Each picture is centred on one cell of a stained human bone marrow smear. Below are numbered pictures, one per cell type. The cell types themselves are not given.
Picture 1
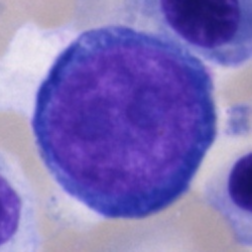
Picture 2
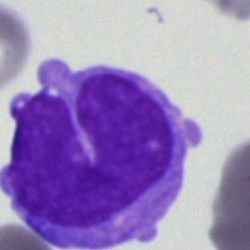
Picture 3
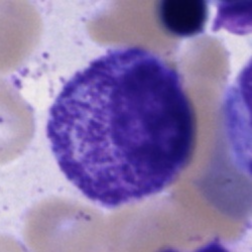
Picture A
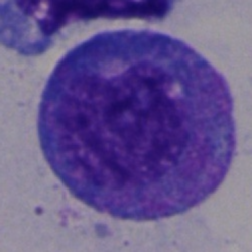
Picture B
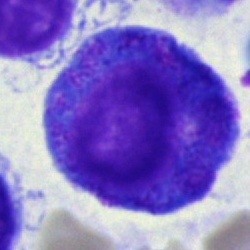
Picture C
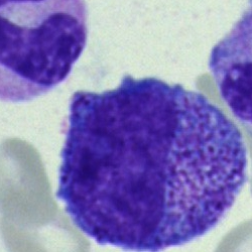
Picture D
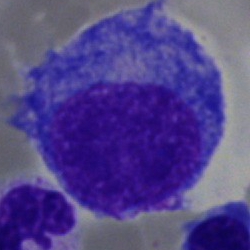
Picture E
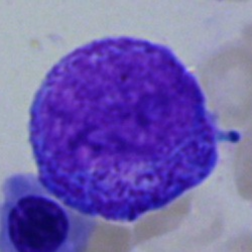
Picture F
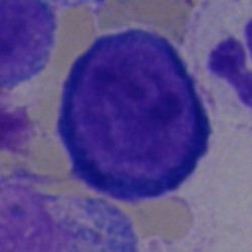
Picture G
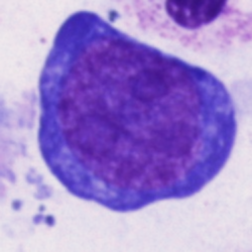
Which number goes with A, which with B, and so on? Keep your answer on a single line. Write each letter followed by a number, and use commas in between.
A 3, B 3, C 3, D 3, E 3, F 1, G 1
